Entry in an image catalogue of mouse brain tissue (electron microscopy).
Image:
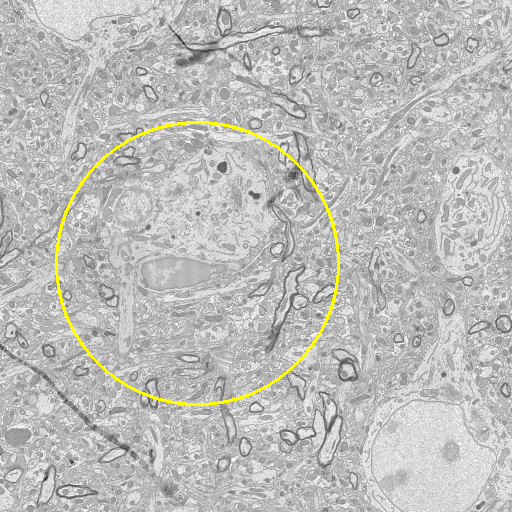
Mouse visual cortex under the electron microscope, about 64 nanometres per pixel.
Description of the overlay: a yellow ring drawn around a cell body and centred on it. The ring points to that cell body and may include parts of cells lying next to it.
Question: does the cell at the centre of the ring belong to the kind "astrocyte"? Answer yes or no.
no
